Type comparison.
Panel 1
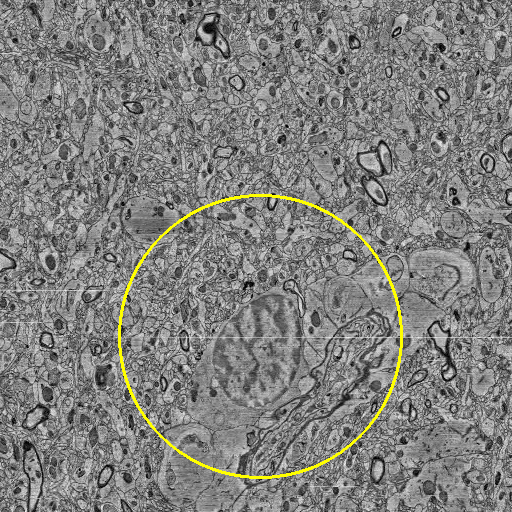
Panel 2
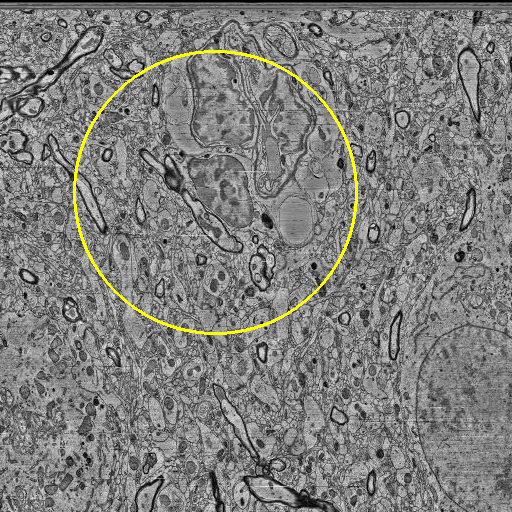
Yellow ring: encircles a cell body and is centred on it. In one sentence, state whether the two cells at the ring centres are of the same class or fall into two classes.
In these panels, the two cells at the ring centres fall into two classes.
